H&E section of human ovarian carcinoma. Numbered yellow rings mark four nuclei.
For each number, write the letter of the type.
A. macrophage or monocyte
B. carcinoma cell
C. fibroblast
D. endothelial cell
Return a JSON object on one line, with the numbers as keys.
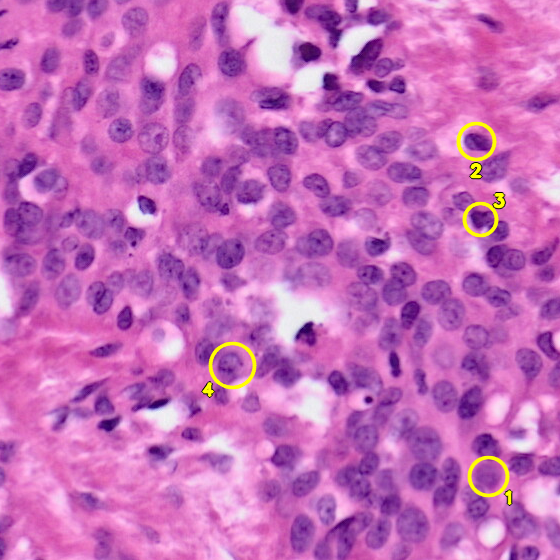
{"1": "B", "2": "A", "3": "B", "4": "B"}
